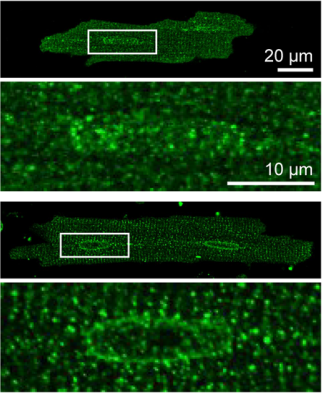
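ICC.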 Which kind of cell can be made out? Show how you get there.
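Cardiomyocytes. Large, elongated, roughly rectangular cells with blunt, step-like ends. A fine regular cross-striated dotted pattern runs across the cytoplasm.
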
